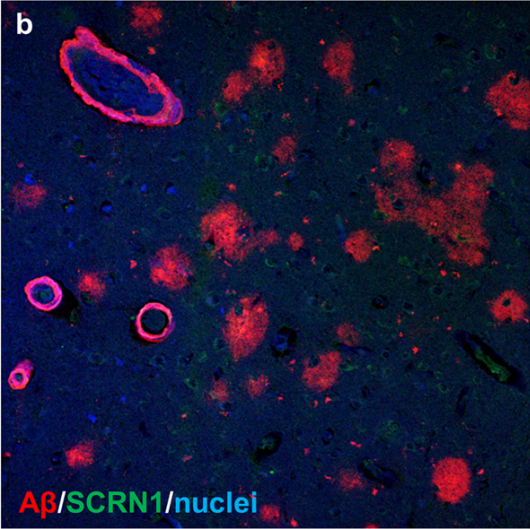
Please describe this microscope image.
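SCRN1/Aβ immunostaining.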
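This is brain tissue with two kinds of red deposits. Several blood vessels, seen in cross section, have walls outlined by thick, bright red rings, one large oval vessel at the upper left and smaller round vessels at the lower left. Between the vessels, in the tissue itself, lie many rounded, fluffy red deposits of varying size, some merging into larger irregular patches. Small blue nuclei are scattered throughout the background. Faint green outlines of small cell bodies appear here and there, but the green does not gather in the vessel walls or within the fluffy deposits.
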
